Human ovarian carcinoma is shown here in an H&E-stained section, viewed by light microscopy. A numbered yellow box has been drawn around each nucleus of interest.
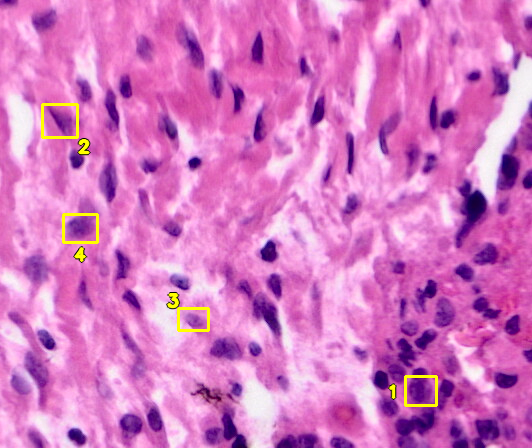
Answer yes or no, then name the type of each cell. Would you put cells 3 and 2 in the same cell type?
Yes, both of the cells numbered 3 and 2 are fibroblasts.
